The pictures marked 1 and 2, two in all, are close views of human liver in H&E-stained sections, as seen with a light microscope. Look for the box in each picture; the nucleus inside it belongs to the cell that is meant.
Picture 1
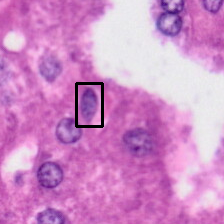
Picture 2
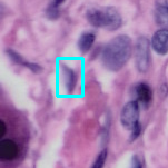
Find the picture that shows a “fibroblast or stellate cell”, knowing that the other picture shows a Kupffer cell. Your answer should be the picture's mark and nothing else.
2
